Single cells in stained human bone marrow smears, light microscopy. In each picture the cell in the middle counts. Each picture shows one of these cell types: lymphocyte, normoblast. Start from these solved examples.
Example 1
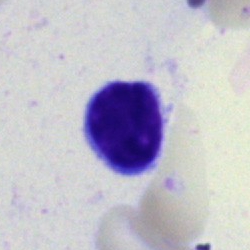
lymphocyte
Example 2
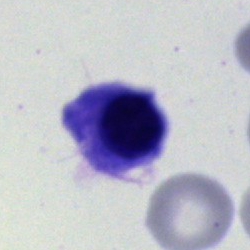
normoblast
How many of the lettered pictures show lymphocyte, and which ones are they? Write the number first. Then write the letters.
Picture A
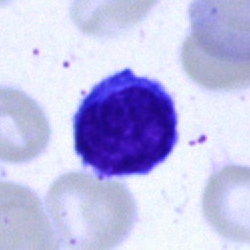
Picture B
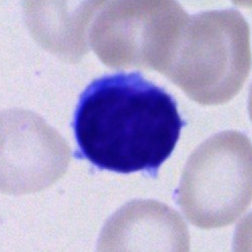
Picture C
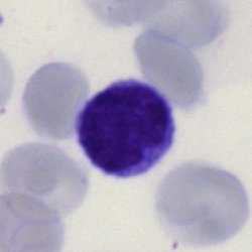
Count: 3 (A, B, C)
